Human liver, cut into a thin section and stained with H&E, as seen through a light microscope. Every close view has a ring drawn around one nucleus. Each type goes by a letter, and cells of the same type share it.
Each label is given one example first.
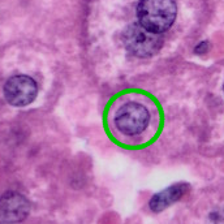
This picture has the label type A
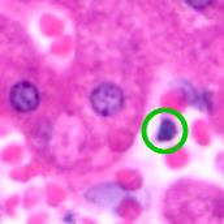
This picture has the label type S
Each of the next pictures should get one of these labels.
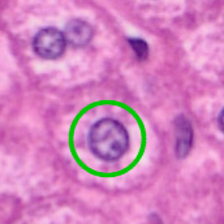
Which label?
type A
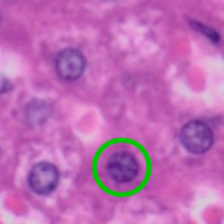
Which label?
type A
